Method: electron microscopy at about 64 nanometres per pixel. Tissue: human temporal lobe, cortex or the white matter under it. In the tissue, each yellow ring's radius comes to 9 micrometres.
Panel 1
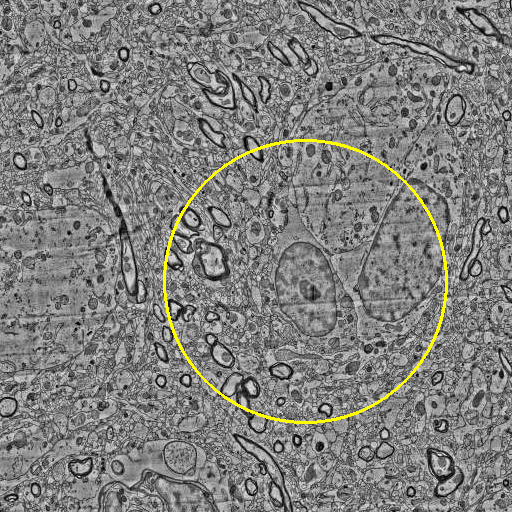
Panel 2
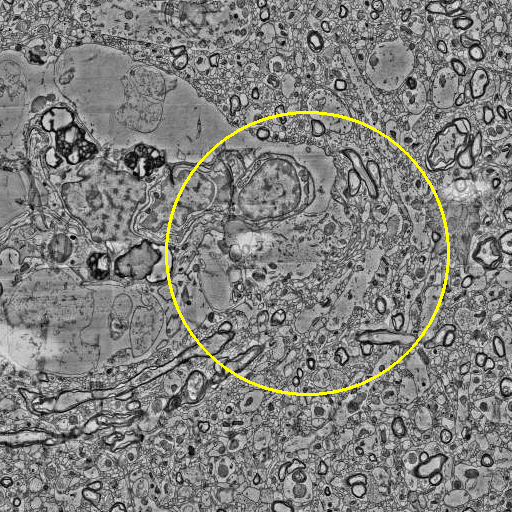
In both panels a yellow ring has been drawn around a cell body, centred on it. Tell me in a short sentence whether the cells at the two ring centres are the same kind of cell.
No, they are two kinds of cell.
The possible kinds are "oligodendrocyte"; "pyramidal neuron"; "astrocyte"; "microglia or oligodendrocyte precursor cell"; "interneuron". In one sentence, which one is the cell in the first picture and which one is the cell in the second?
The cell ringed in the second picture is a microglial cell or oligodendrocyte precursor cell, whereas the one ringed in the first is an oligodendrocyte.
